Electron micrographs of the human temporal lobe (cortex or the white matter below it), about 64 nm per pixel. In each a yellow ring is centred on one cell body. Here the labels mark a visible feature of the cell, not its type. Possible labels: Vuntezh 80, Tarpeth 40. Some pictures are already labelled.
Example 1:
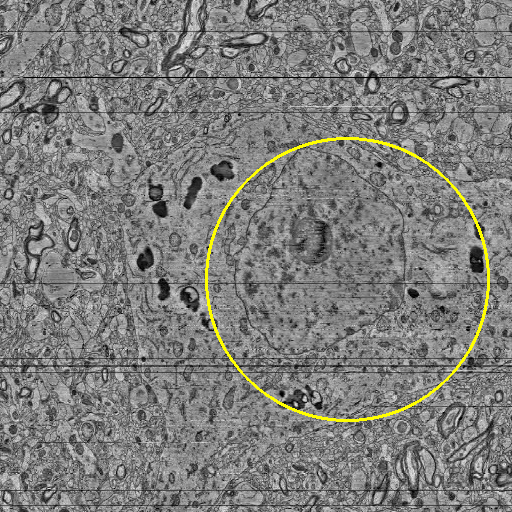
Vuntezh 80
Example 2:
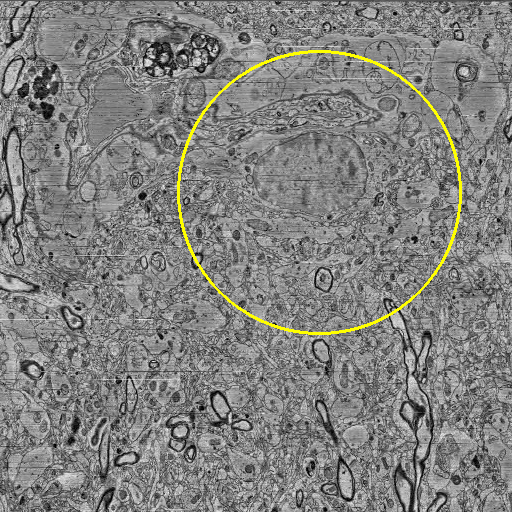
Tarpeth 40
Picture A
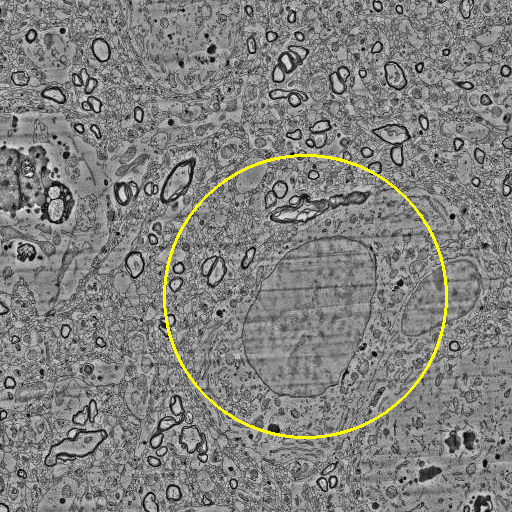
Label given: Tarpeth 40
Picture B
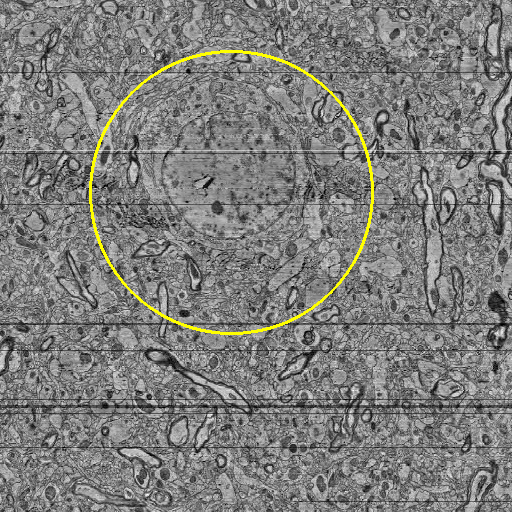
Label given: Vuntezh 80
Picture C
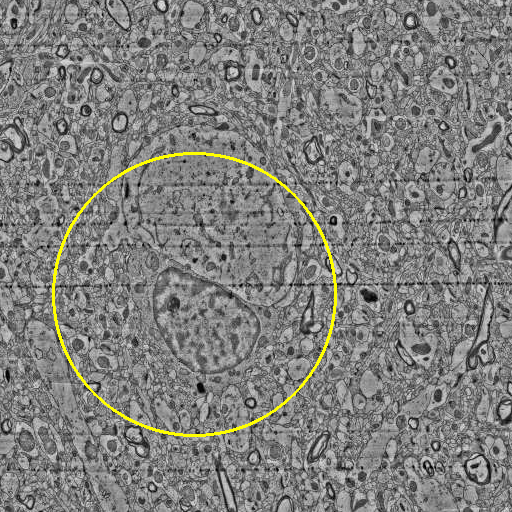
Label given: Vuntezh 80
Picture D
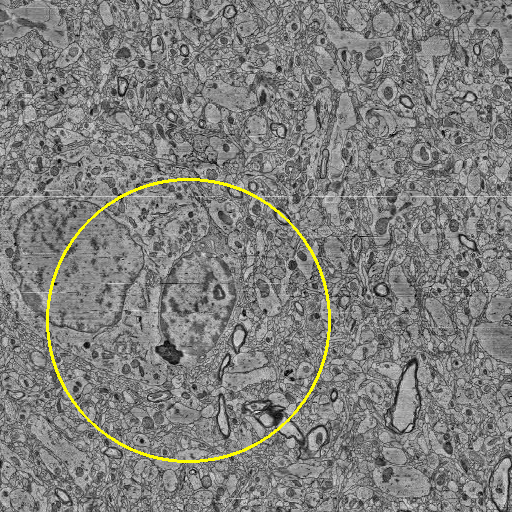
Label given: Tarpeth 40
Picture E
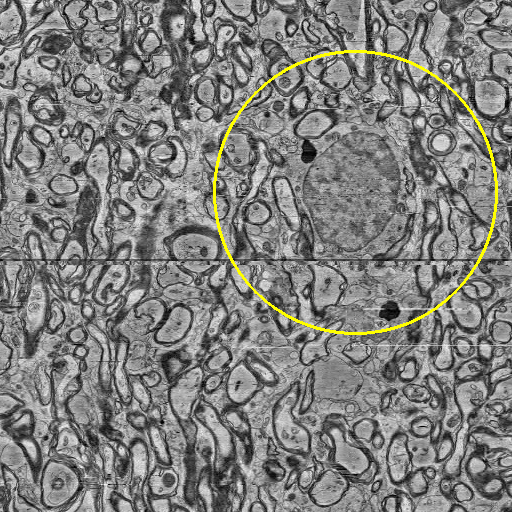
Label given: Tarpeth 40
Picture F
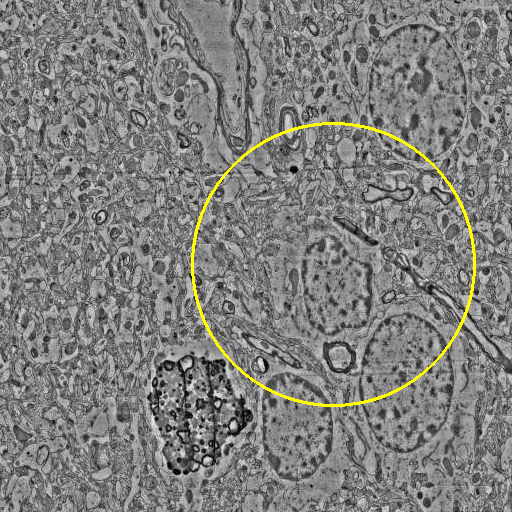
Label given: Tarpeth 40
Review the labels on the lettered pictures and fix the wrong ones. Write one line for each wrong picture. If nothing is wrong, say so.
D: change Tarpeth 40 to Vuntezh 80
